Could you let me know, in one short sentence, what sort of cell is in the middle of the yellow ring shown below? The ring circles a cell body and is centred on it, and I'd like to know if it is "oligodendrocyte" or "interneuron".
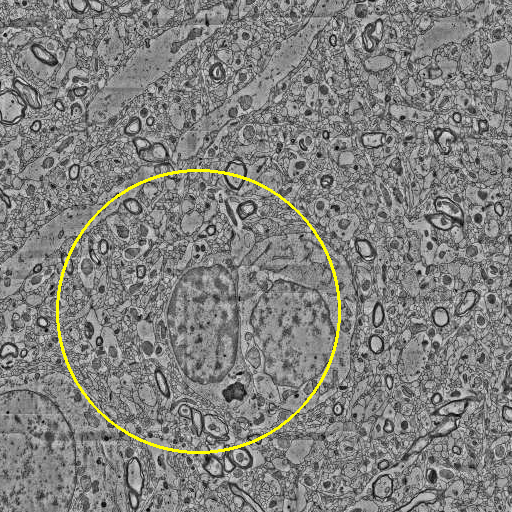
The ring circles the cell body of an oligodendrocyte.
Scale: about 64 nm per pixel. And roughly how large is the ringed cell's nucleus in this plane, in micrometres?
The nucleus comes to roughly 8 by 5 micrometres in this plane.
